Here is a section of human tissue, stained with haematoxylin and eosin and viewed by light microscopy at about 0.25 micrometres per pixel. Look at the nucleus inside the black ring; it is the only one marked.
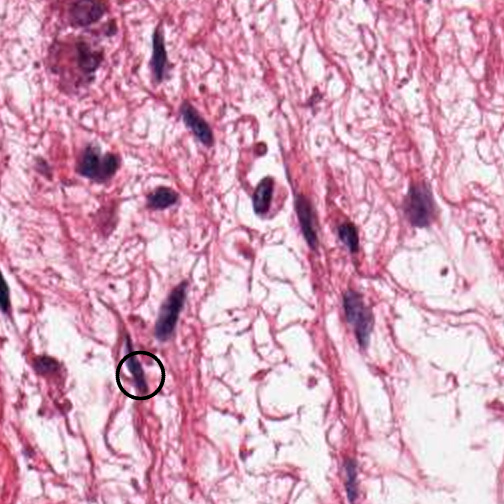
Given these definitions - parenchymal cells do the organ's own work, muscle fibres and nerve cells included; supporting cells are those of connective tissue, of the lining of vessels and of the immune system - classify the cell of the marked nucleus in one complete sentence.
The marked nucleus in this section is part of a supporting cell.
